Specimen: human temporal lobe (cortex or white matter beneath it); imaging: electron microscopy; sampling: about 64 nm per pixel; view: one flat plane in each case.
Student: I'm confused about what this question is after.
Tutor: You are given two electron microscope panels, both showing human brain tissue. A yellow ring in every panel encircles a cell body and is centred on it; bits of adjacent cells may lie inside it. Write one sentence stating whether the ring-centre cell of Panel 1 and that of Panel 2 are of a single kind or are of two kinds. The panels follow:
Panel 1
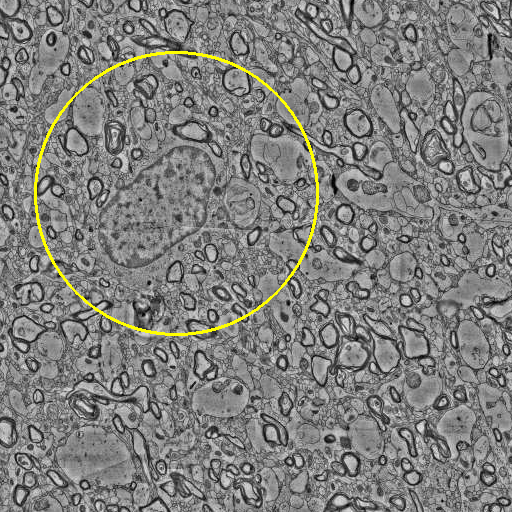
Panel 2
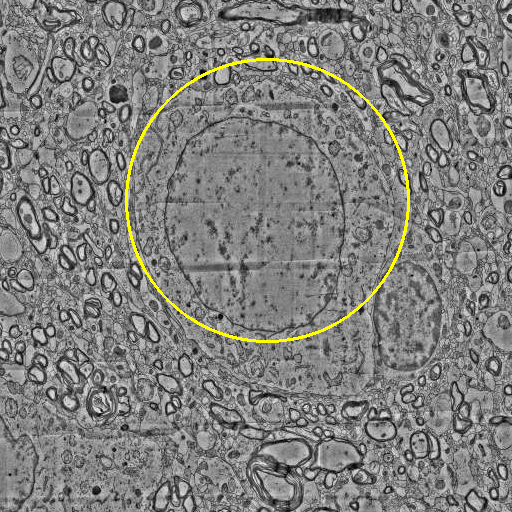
Here, the Panel 1 ring-centre cell and the Panel 2 ring-centre cell are of two kinds.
